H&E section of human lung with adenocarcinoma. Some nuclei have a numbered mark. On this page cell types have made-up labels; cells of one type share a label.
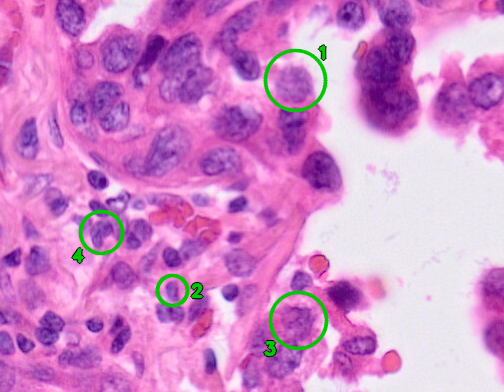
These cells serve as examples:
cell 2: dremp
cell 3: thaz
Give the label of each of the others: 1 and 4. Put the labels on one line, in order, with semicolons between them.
thaz; dremp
